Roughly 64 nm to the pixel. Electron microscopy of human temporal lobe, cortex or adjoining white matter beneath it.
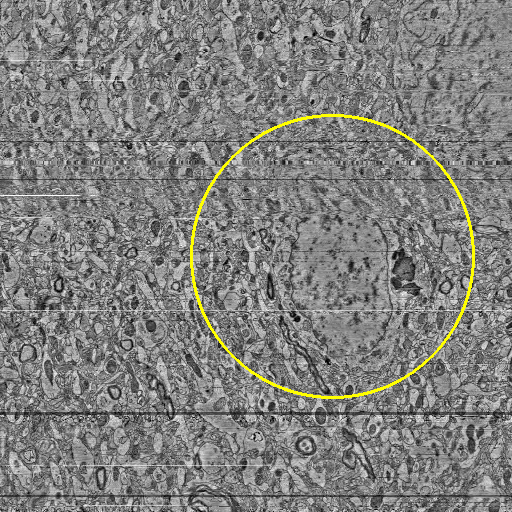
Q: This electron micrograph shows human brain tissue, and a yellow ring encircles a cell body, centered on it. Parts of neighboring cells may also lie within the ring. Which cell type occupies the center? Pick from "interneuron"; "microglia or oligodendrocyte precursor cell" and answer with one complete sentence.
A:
What sits at the ring's center in this micrograph is an interneuron, among those choices.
